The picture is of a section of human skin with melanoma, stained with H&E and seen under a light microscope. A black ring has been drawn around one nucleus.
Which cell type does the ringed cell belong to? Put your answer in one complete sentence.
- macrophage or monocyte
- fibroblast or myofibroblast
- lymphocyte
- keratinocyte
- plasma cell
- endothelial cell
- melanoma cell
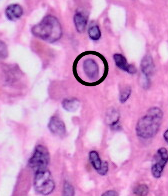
In cell-type terms, the ringed cell is a macrophage or monocyte.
